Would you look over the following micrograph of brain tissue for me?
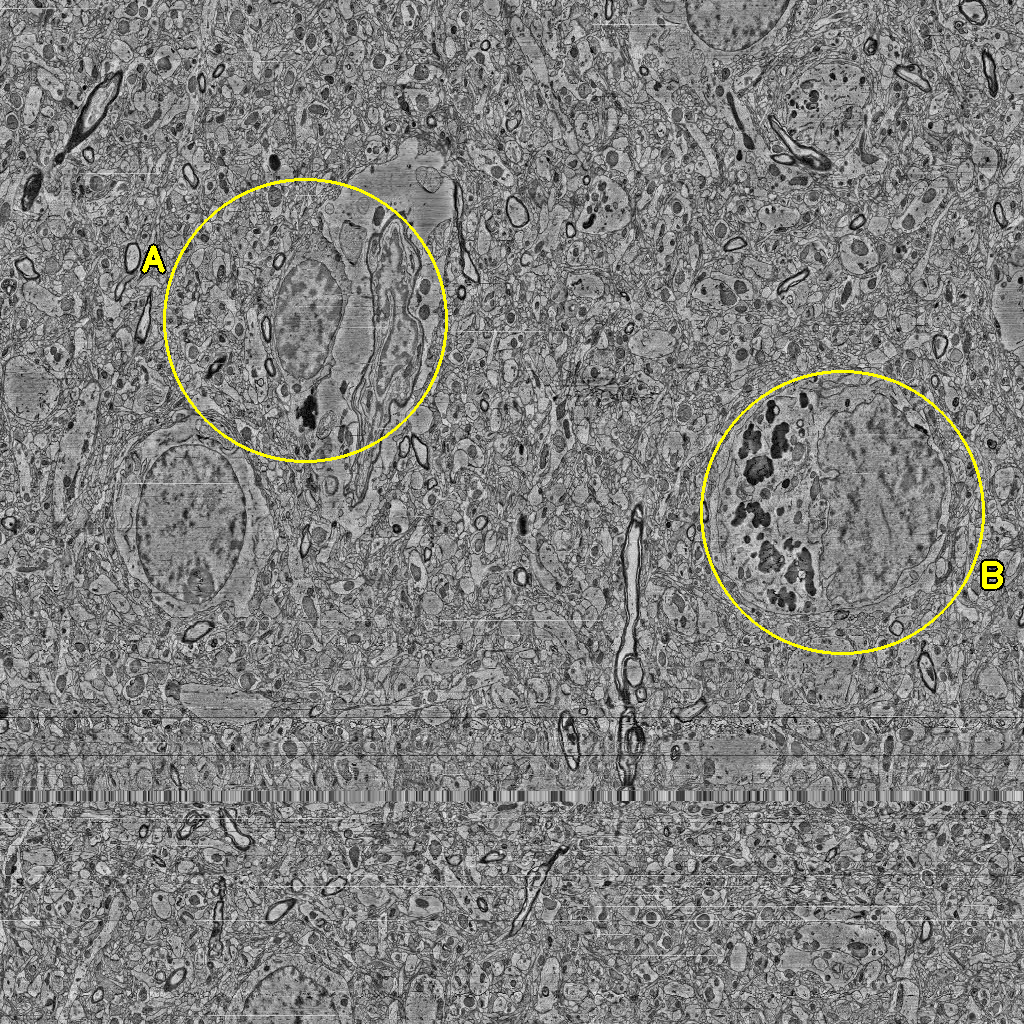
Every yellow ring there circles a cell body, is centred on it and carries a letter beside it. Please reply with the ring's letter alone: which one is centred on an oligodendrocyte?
A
